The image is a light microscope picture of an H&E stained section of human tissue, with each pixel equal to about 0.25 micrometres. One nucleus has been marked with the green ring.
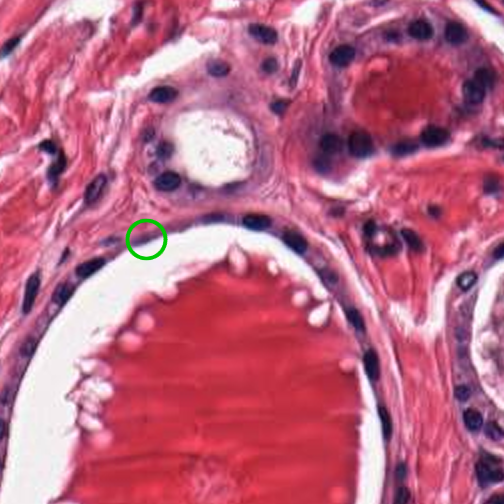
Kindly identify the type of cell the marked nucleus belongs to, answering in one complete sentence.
The mark indicates the nucleus of a thyroid follicular cell.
